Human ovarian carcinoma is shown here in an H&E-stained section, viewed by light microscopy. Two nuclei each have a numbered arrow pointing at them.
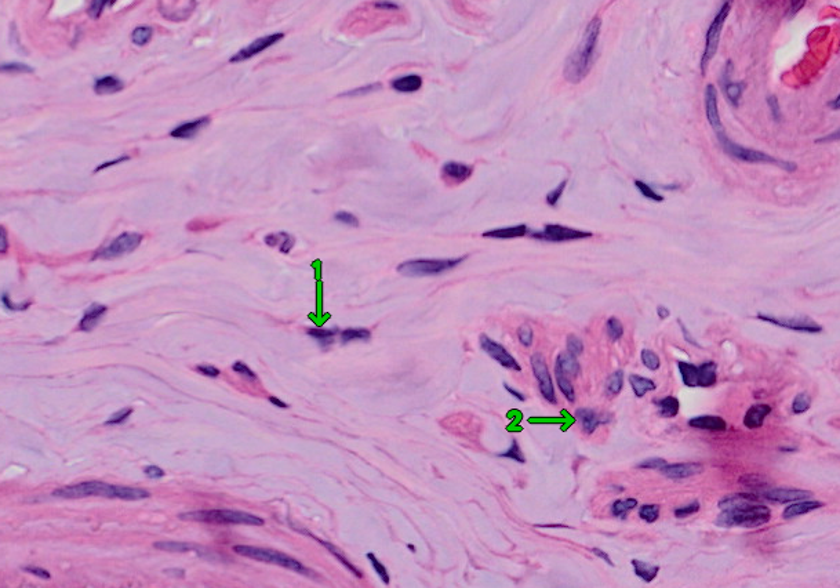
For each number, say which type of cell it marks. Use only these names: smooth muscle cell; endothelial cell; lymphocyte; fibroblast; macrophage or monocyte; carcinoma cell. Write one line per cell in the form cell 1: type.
cell 1: fibroblast
cell 2: smooth muscle cell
